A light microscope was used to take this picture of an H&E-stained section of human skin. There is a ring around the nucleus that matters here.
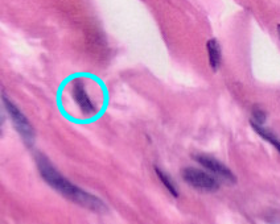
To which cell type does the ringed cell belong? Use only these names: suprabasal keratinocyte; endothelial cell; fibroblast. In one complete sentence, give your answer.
The classification of the ringed cell is as a fibroblast.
